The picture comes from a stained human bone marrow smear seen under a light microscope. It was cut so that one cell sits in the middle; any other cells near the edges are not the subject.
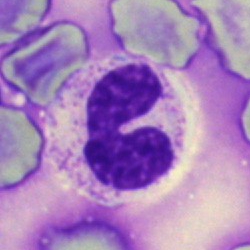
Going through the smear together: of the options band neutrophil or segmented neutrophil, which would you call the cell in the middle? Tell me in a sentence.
What the crop centres on is a band neutrophil.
